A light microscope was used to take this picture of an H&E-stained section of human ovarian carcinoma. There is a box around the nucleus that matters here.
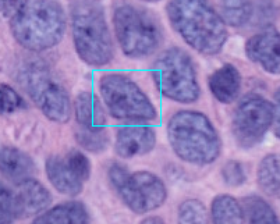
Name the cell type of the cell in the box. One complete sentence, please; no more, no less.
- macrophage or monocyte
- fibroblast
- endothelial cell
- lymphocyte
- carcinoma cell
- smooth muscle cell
The category to which the cell in the box belongs is that of a carcinoma cell.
